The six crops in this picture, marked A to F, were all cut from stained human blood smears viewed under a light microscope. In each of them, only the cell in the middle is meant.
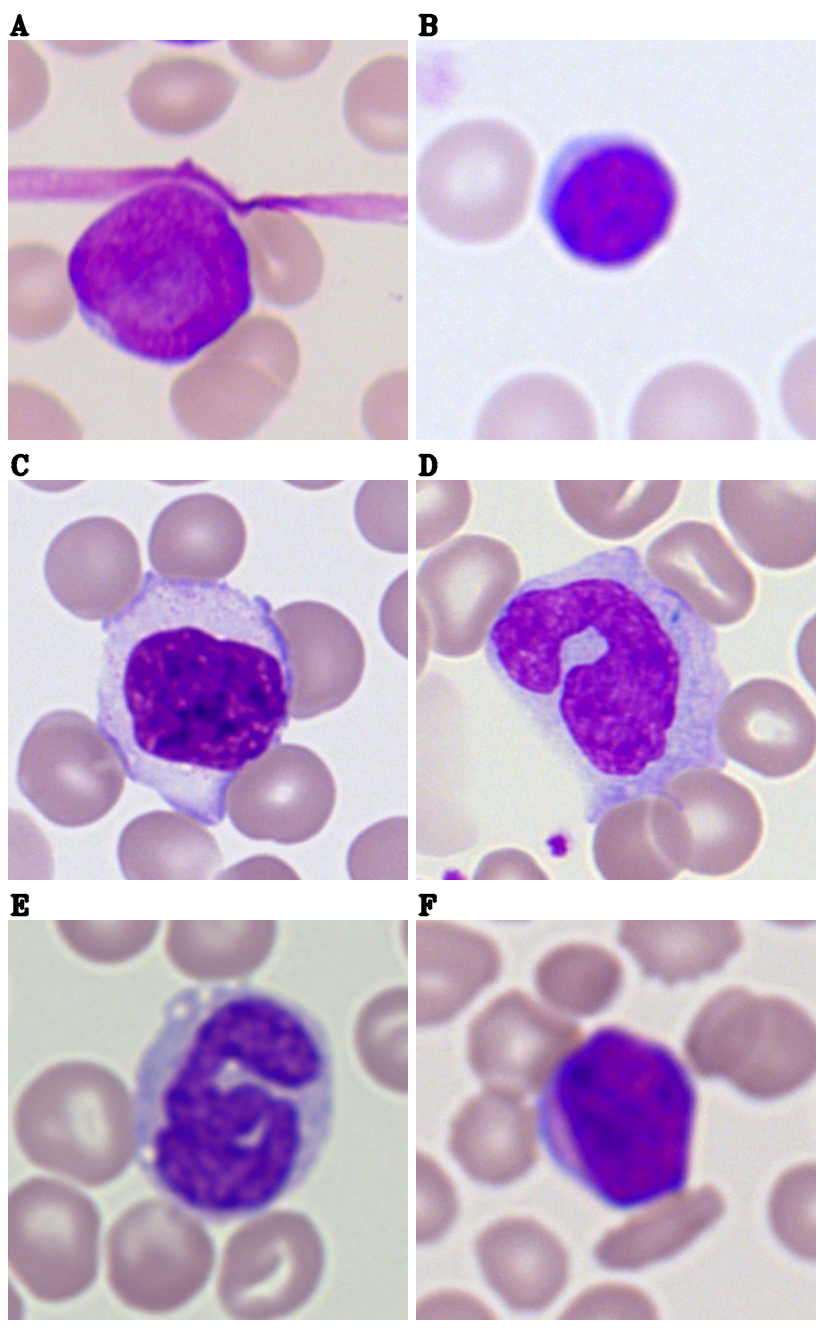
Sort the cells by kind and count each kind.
myeloblast: 2
lymphocyte: 2
monocyte: 2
